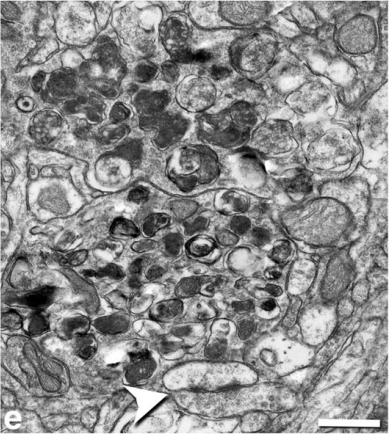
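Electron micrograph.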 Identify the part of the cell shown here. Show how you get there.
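Autophagic vacuoles. A large profile is filled with many membrane-bound vacuoles with dark or multilamellar contents. Few normal-looking organelles are seen inside it.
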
